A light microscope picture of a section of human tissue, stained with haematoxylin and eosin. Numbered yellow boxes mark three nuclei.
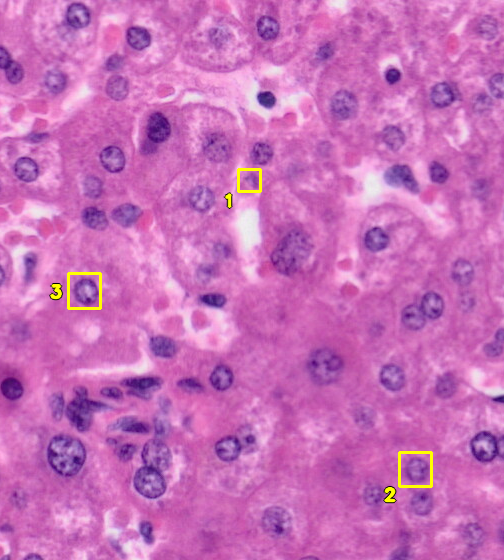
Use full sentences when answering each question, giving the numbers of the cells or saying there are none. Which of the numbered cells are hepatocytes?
The cells whose numbers are 2 and 3 are hepatocytes.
